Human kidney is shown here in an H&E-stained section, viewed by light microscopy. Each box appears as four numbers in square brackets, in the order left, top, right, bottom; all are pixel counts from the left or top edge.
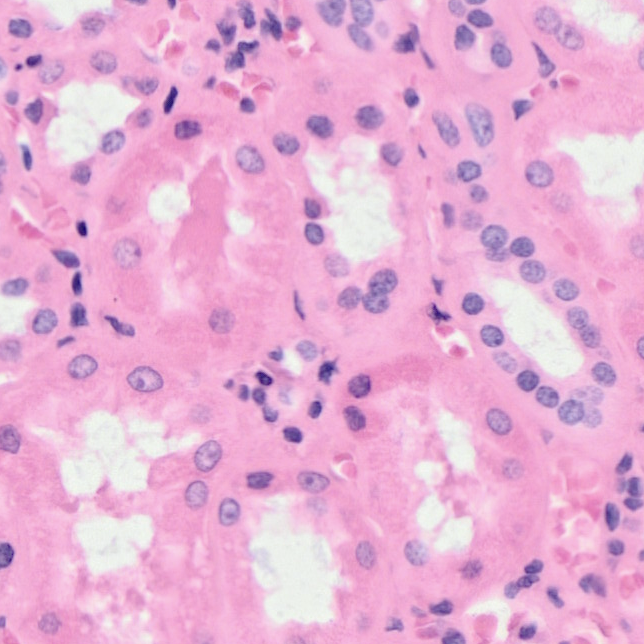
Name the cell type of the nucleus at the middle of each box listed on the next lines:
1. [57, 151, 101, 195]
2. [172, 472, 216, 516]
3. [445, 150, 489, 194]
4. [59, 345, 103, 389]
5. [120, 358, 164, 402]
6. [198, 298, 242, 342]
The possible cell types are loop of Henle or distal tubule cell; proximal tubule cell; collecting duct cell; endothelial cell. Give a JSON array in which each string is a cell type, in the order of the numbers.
["loop of Henle or distal tubule cell", "proximal tubule cell", "collecting duct cell", "proximal tubule cell", "proximal tubule cell", "proximal tubule cell"]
